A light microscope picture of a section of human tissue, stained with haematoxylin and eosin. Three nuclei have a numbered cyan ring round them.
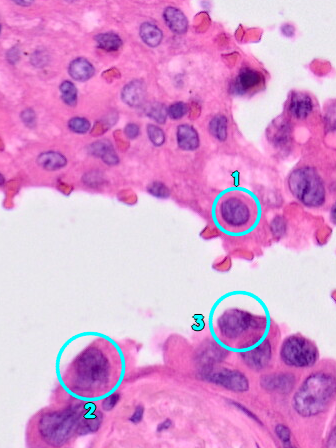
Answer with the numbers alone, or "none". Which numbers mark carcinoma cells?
2, 3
